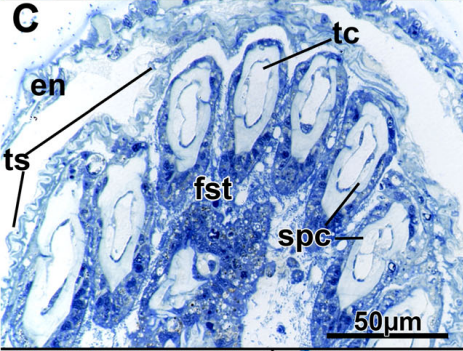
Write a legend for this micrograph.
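Retracted tentacles, cut across, are packed in a fan-like cluster inside a thin tentacle sheath, with the body wall at the left. Each tentacle is an elongated oval profile with a pale, clear central coelom lined by a thin wall, and a blue-stained epidermis that is thicker on the side facing the centre of the cluster. In some profiles cells protrude into the coelom and partly fill it. The middle of the cluster contains densely stained, granular tissue. Nuclei appear as small dark blue dots within the epidermal layers.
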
